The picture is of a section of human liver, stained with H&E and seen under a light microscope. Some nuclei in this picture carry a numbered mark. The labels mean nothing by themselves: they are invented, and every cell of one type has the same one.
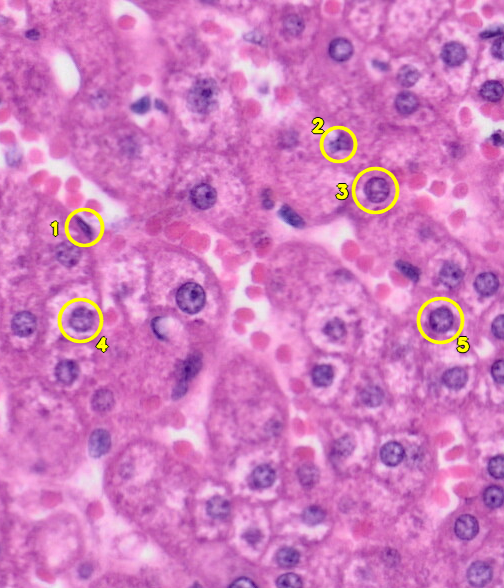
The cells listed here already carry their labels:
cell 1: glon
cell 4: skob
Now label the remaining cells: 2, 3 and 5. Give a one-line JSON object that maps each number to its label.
{"2": "glon", "3": "skob", "5": "skob"}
